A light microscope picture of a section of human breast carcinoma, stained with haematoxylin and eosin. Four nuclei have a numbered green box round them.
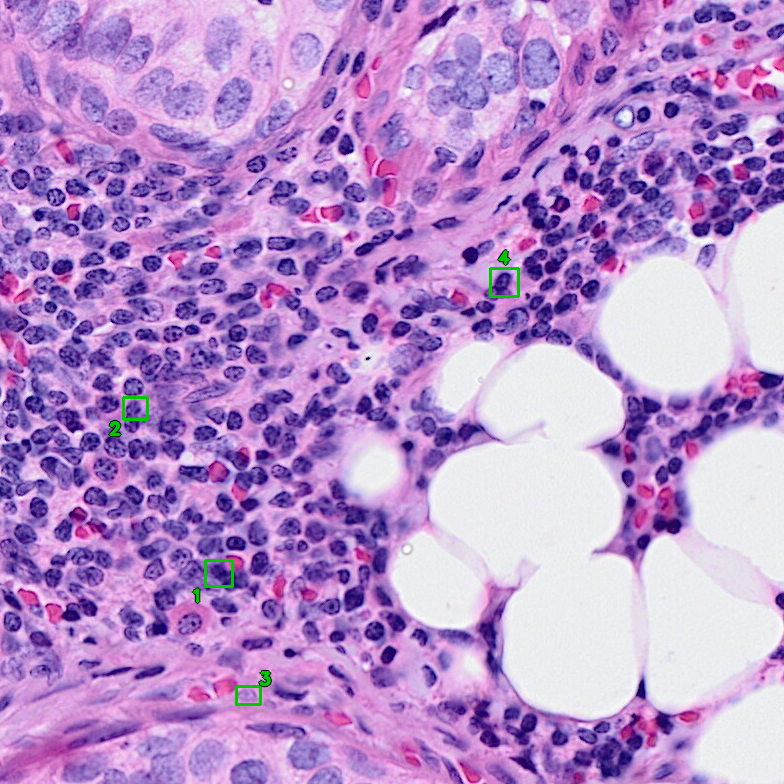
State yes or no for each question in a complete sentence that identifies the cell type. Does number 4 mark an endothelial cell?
No, the one with number 4 is a lymphocyte, not an endothelial cell.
